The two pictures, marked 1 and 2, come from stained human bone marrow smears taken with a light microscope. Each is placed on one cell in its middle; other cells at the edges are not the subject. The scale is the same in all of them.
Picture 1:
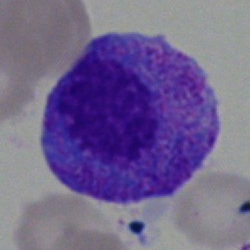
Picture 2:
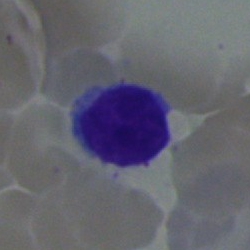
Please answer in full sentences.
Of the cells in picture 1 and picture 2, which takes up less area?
It is the cell in picture 2; the cell in picture 1 has about 3 times its area.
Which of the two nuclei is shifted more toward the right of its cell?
In picture 2 the nucleus is shifted more toward the right.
